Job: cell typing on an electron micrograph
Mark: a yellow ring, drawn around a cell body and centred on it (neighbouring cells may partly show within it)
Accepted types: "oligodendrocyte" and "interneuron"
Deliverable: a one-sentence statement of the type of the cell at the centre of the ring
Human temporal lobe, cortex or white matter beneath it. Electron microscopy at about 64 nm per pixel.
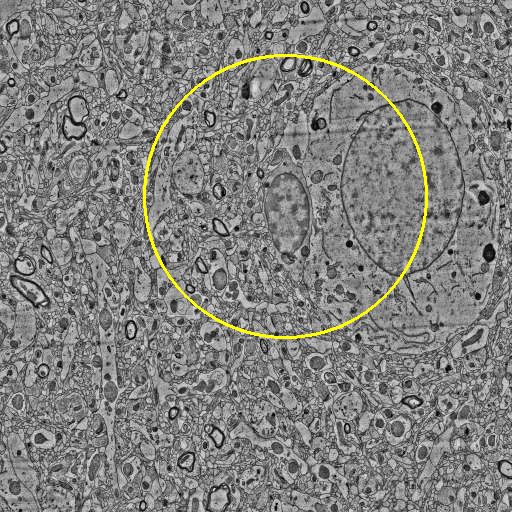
The centred cell body is that of an oligodendrocyte.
